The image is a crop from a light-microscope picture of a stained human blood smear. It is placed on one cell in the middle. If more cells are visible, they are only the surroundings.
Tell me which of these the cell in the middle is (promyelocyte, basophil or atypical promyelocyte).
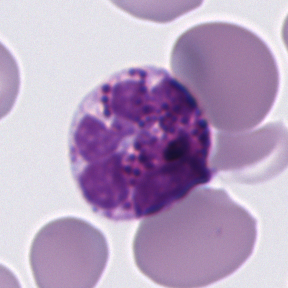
basophil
